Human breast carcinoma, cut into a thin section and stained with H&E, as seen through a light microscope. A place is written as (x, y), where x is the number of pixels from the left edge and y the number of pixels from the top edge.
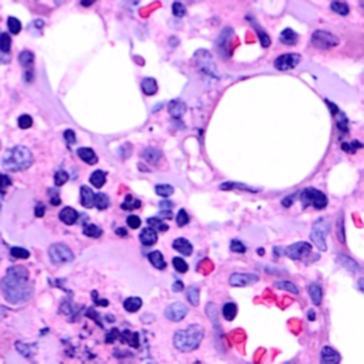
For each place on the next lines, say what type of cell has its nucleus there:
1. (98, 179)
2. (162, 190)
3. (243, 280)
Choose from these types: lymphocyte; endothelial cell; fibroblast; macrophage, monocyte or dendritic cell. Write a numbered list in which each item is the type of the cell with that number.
1. lymphocyte
2. lymphocyte
3. endothelial cell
